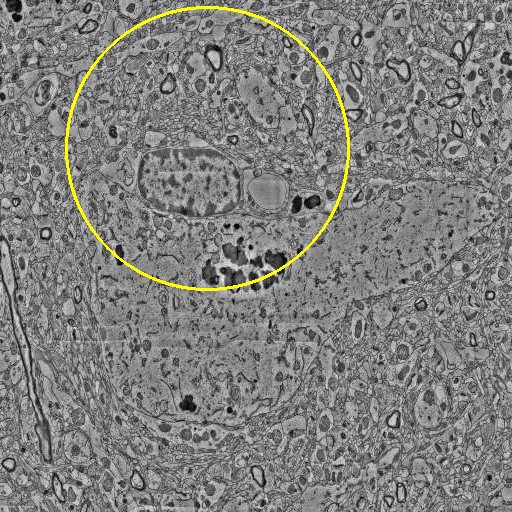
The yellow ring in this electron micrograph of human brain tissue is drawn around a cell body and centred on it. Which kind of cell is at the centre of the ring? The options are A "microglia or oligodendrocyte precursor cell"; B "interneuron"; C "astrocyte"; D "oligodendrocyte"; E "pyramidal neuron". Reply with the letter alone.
A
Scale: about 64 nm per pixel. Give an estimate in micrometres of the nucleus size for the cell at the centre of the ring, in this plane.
The nucleus of the ringed cell is approximately 7 by 4 micrometres in this plane.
